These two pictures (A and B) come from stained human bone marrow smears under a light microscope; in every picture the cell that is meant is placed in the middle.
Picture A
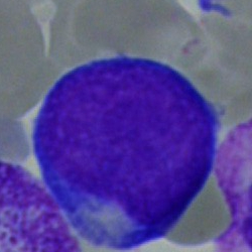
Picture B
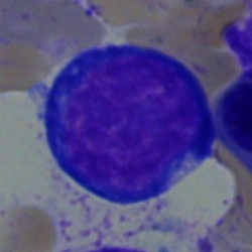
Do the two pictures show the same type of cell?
yes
